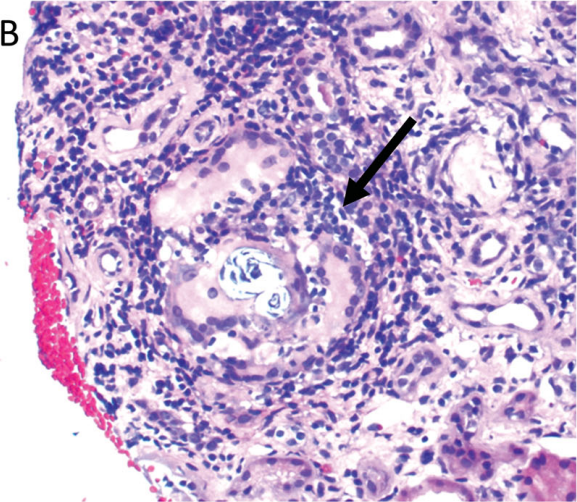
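This is kidney tissue with a granuloma: a rounded nodule of pale pink epithelioid cells wraps around a central space holding fragmented, faintly bluish material. A dense collar of small dark-nucleated inflammatory cells surrounds the nodule and spreads between the neighbouring tubules, and among these inflammatory cells are eosinophils. A band of packed red blood cells runs along the left edge.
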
